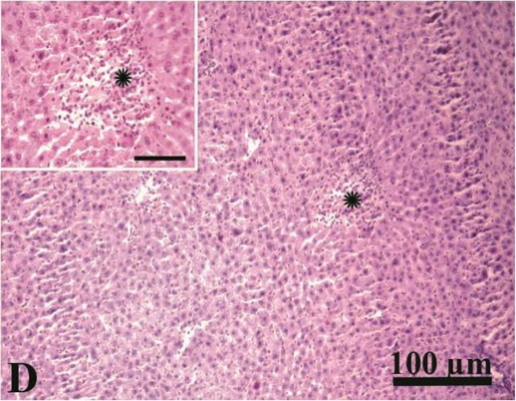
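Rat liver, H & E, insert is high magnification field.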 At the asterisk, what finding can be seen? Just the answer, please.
small degenerated areas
